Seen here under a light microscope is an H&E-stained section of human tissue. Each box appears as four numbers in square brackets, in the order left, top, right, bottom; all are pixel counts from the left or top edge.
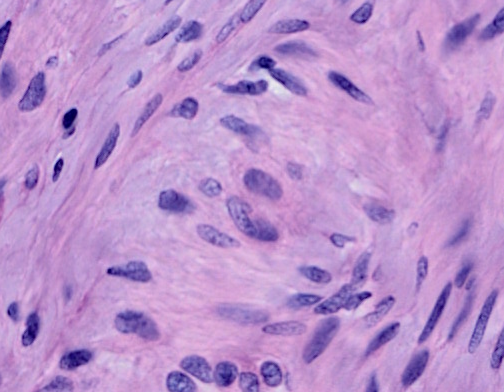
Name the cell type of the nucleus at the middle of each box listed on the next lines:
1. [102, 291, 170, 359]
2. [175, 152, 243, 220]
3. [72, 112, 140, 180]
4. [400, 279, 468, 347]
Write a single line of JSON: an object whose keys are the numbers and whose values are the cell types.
{"1": "fibroblast", "2": "smooth muscle cell", "3": "fibroblast", "4": "fibroblast"}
